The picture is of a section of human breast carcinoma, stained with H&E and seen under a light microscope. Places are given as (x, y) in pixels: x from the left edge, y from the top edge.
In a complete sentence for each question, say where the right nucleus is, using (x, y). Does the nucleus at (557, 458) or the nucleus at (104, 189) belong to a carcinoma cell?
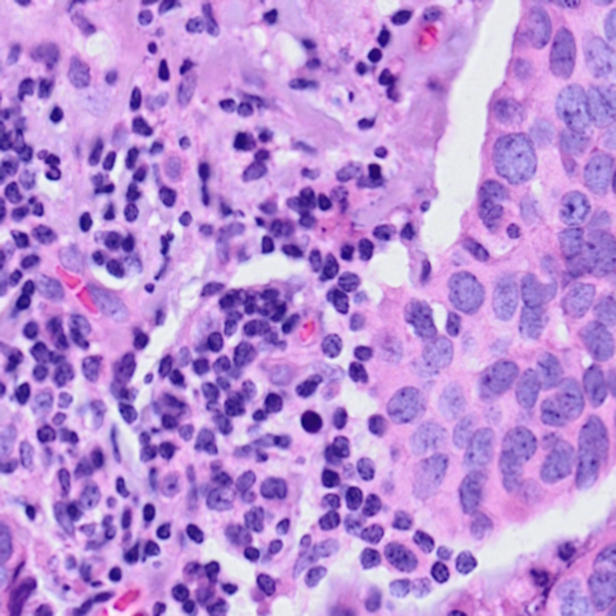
Of the two, the nucleus lying at (557, 458) is the one belonging to a carcinoma cell.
